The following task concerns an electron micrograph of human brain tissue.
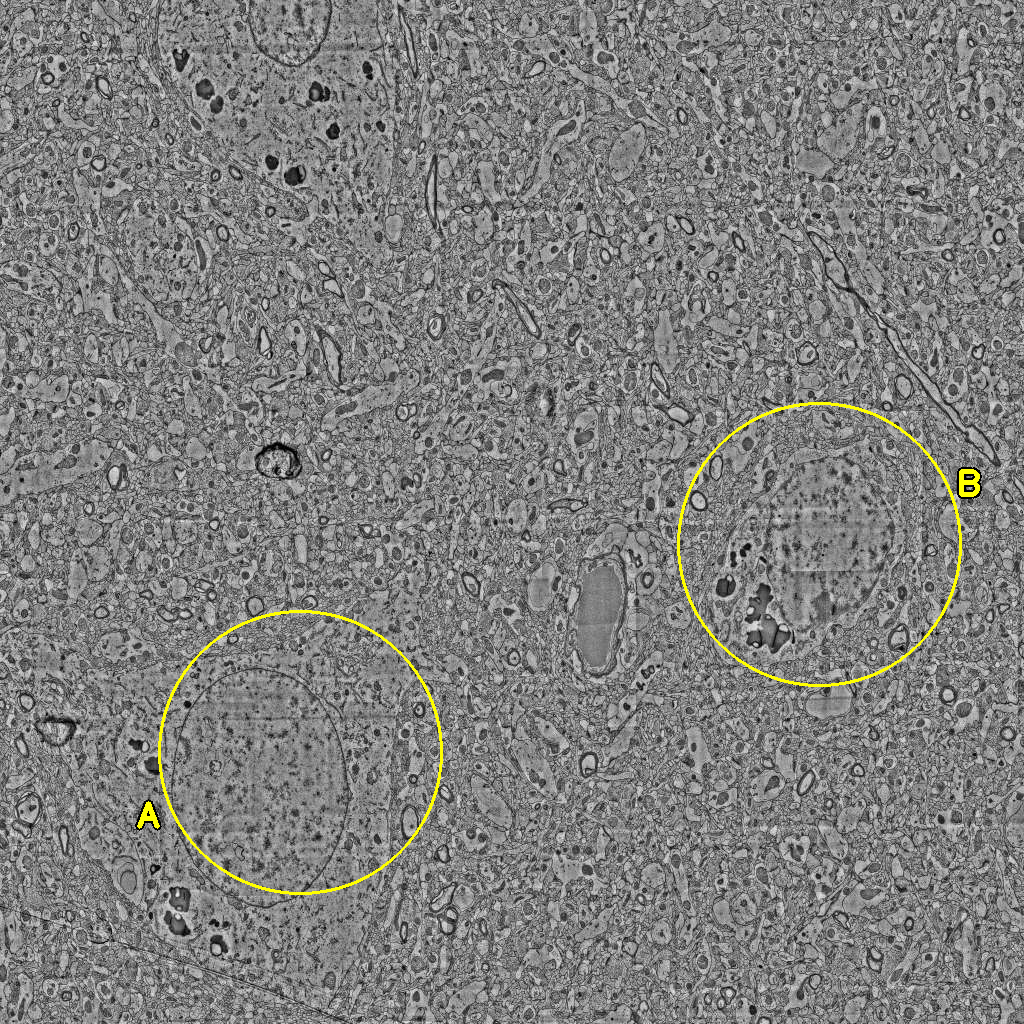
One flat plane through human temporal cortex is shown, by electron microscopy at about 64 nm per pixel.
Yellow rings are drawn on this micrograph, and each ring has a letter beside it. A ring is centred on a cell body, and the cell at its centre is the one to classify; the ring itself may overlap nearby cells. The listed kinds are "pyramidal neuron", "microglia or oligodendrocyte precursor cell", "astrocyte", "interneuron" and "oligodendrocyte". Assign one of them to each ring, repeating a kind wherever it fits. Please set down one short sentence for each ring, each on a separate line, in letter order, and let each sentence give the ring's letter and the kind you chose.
The cell ringed as A is a pyramidal neuron.
The cell ringed as B is an interneuron.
